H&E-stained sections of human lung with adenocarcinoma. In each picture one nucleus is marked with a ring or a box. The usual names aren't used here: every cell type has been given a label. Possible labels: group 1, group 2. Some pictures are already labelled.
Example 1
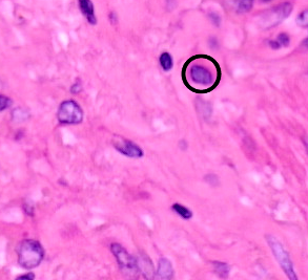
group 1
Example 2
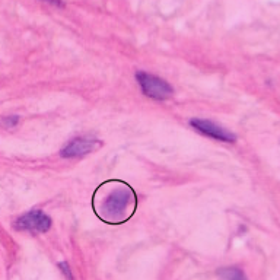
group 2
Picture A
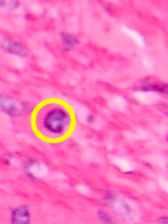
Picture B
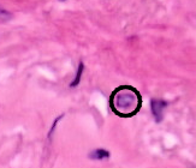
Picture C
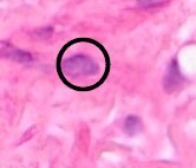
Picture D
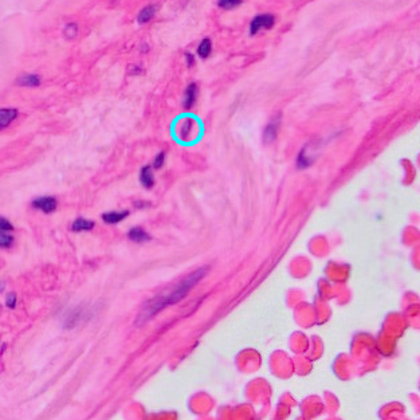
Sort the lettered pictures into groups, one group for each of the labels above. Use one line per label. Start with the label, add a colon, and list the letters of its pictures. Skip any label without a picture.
group 1: A, B
group 2: C, D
